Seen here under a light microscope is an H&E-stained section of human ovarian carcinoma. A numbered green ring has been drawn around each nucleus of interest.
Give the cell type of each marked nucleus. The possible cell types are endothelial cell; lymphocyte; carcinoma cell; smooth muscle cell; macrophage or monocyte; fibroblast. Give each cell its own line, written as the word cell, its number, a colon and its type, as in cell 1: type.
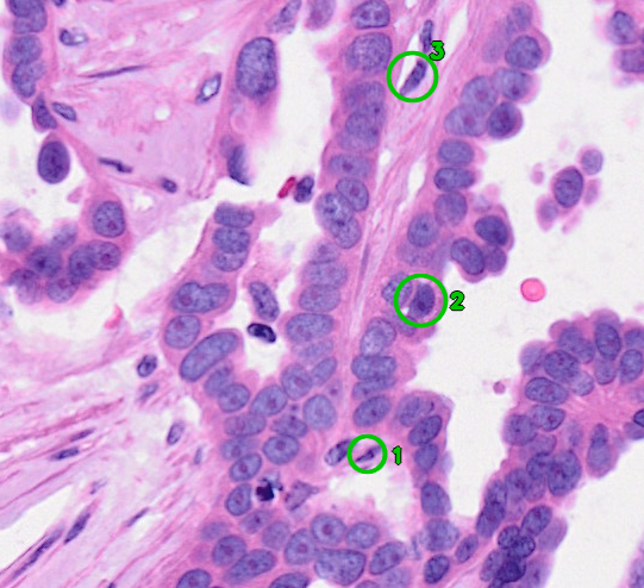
cell 1: fibroblast
cell 2: carcinoma cell
cell 3: fibroblast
